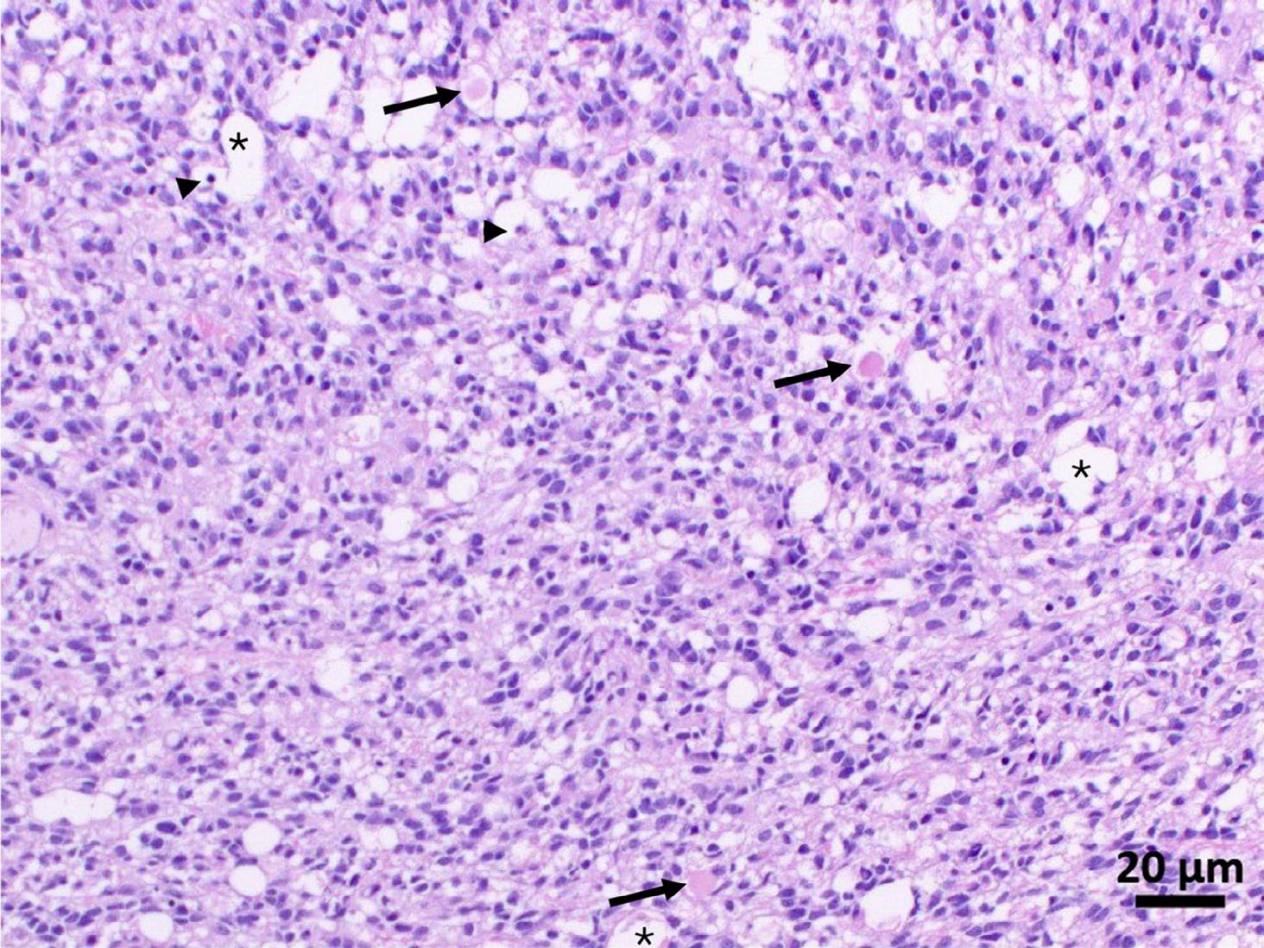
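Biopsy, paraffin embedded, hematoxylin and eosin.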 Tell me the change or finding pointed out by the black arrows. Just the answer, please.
Axonal spheroids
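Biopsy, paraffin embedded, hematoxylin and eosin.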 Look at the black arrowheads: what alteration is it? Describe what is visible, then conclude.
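Small, round, very dark, condensed nuclei lie at the arrowhead tips. These nuclei are smaller and darker than the surrounding nuclei.
Answer: pyknotic nuclei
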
